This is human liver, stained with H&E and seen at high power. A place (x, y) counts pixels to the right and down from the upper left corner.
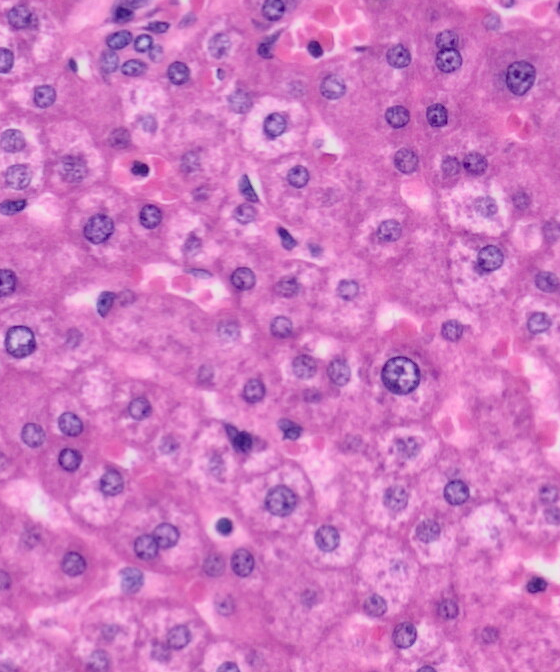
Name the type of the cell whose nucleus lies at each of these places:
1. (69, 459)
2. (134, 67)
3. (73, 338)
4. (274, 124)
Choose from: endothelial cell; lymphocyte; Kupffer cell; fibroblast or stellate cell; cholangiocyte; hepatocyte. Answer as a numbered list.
1. hepatocyte
2. cholangiocyte
3. hepatocyte
4. hepatocyte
